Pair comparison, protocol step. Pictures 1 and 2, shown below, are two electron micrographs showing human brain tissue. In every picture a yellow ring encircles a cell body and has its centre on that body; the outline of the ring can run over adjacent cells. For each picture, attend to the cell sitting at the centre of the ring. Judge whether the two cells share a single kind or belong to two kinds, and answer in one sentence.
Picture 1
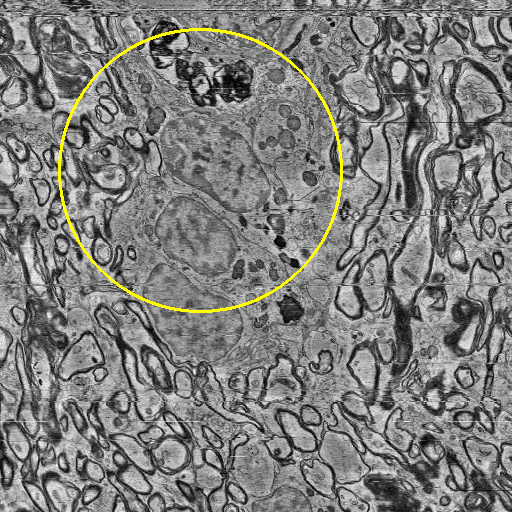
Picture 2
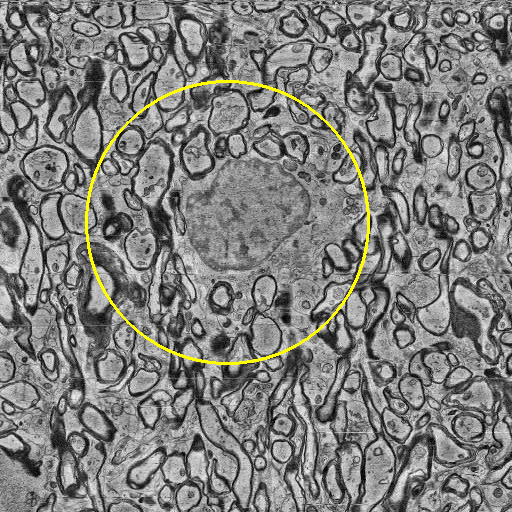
The two cells at the ring centres in Picture 1 and Picture 2 belong to two kinds.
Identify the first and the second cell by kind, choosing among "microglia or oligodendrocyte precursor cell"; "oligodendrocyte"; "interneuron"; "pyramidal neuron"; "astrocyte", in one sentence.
The one in the first picture is a microglial cell or oligodendrocyte precursor cell, while the one in the second is an oligodendrocyte.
